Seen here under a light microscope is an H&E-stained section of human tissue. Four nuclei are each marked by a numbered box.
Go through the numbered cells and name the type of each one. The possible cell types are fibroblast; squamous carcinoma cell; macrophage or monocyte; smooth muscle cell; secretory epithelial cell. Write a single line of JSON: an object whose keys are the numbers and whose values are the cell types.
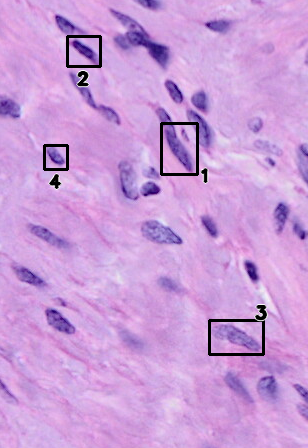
{"1": "fibroblast", "2": "fibroblast", "3": "smooth muscle cell", "4": "fibroblast"}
